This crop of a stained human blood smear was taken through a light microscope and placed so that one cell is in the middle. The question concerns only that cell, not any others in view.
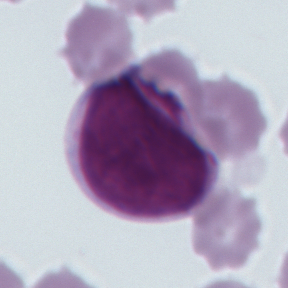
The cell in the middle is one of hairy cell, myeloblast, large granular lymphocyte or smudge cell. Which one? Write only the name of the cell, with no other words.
myeloblast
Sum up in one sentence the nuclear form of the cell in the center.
Between us, the nucleus here is just one compact mass, round, oval or kidney-shaped.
